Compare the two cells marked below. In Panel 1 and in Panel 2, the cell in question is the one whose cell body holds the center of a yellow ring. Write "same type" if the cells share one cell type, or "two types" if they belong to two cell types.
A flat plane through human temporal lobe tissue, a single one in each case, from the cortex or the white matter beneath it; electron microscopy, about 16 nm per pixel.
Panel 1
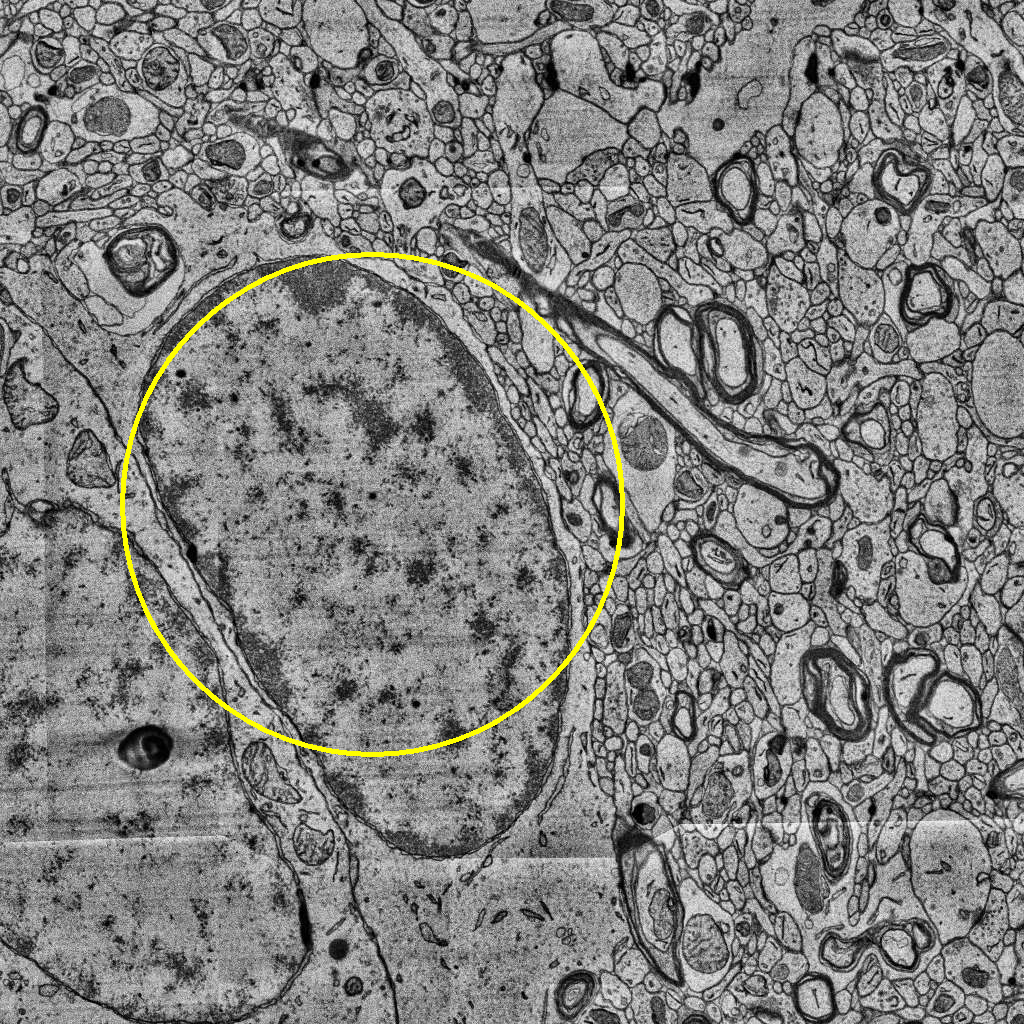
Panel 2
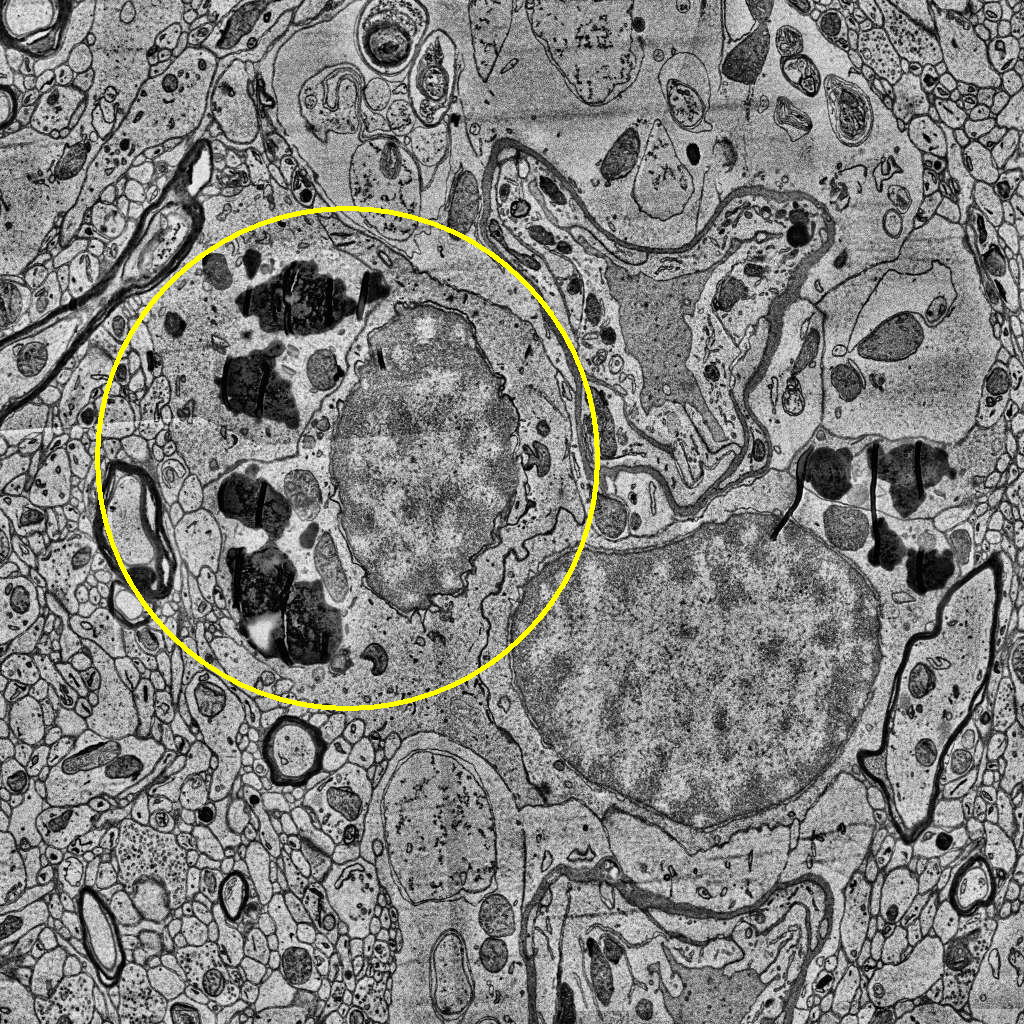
two types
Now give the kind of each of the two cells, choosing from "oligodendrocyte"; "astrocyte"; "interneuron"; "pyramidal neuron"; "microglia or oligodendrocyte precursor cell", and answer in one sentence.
At the centre of the first ring sits a microglial cell or oligodendrocyte precursor cell, and at the centre of the second sits an oligodendrocyte.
